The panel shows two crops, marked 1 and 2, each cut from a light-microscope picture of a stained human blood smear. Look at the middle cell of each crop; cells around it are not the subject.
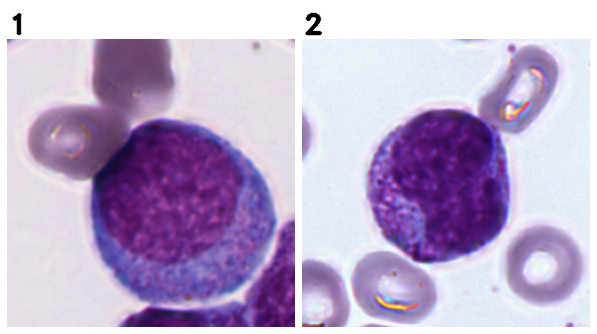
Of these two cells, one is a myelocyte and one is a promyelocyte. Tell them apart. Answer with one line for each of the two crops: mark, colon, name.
1: promyelocyte
2: myelocyte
